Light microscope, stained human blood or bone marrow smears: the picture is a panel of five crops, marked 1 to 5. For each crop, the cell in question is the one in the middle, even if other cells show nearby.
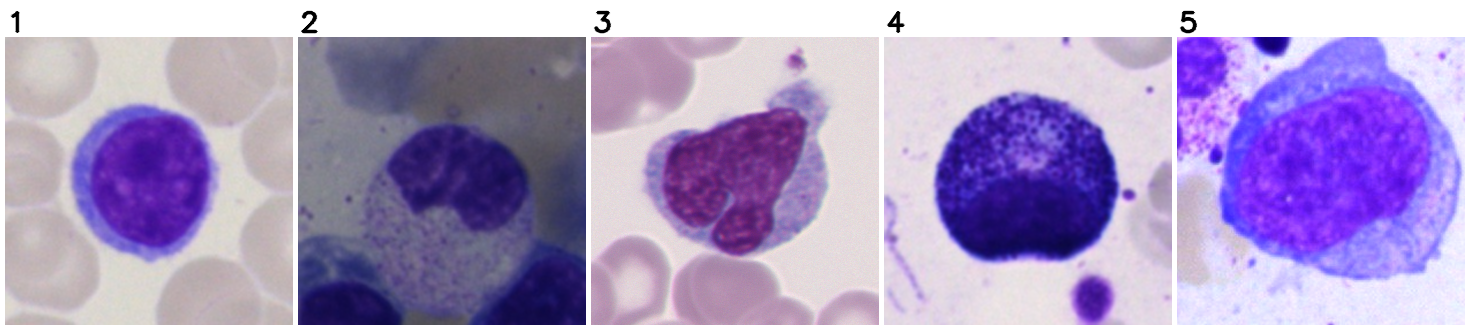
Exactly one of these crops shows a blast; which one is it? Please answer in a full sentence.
Here the crop that shows a blast is crop 5.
